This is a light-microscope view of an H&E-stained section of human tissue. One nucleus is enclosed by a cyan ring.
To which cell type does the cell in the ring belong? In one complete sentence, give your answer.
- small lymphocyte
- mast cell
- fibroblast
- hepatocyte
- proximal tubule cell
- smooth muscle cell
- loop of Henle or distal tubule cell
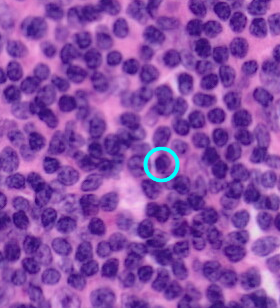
Right, so the cell in the ring is a small lymphocyte, to answer that.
